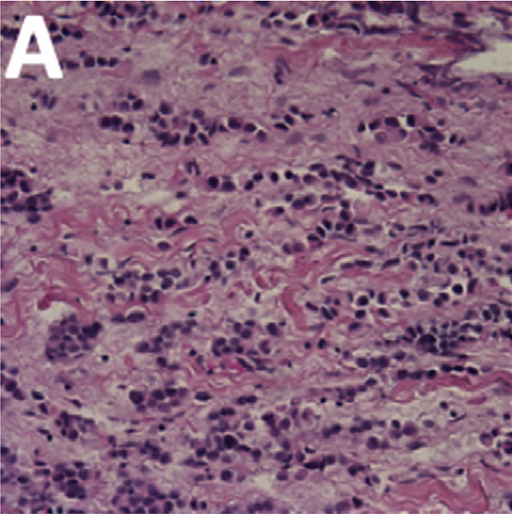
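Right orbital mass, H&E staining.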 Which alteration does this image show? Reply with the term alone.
Linear configuration.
